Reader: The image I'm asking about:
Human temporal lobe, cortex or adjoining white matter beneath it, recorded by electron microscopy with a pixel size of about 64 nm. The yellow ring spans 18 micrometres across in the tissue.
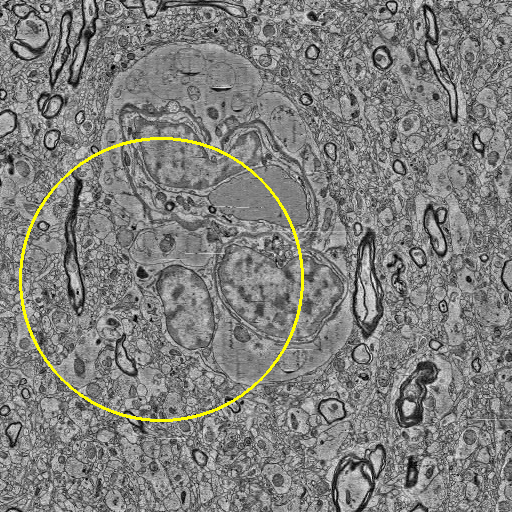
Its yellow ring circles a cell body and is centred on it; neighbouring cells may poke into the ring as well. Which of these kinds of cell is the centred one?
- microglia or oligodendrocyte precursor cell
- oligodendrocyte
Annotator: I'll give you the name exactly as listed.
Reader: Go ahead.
microglia or oligodendrocyte precursor cell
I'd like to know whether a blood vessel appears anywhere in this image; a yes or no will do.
Yes, one shows.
